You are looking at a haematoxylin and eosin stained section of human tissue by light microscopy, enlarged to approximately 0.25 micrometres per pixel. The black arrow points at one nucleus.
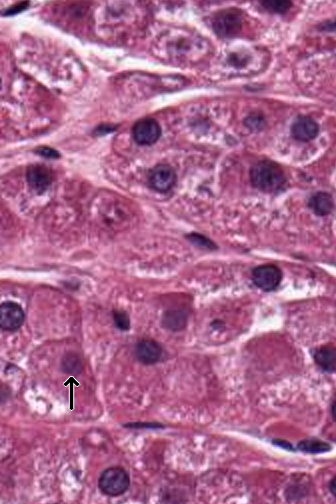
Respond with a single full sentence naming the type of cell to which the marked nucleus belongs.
A nucleus of an adrenal cortical cell is the one that is marked.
